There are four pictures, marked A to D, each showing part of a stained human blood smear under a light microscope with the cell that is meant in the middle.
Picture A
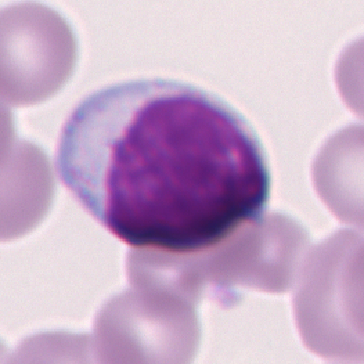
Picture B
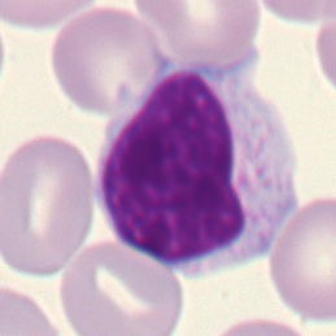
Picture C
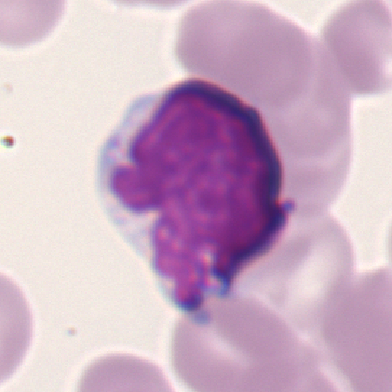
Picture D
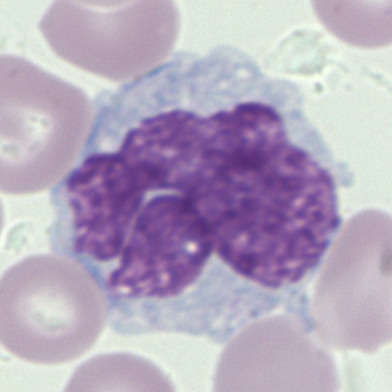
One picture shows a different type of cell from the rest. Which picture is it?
D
